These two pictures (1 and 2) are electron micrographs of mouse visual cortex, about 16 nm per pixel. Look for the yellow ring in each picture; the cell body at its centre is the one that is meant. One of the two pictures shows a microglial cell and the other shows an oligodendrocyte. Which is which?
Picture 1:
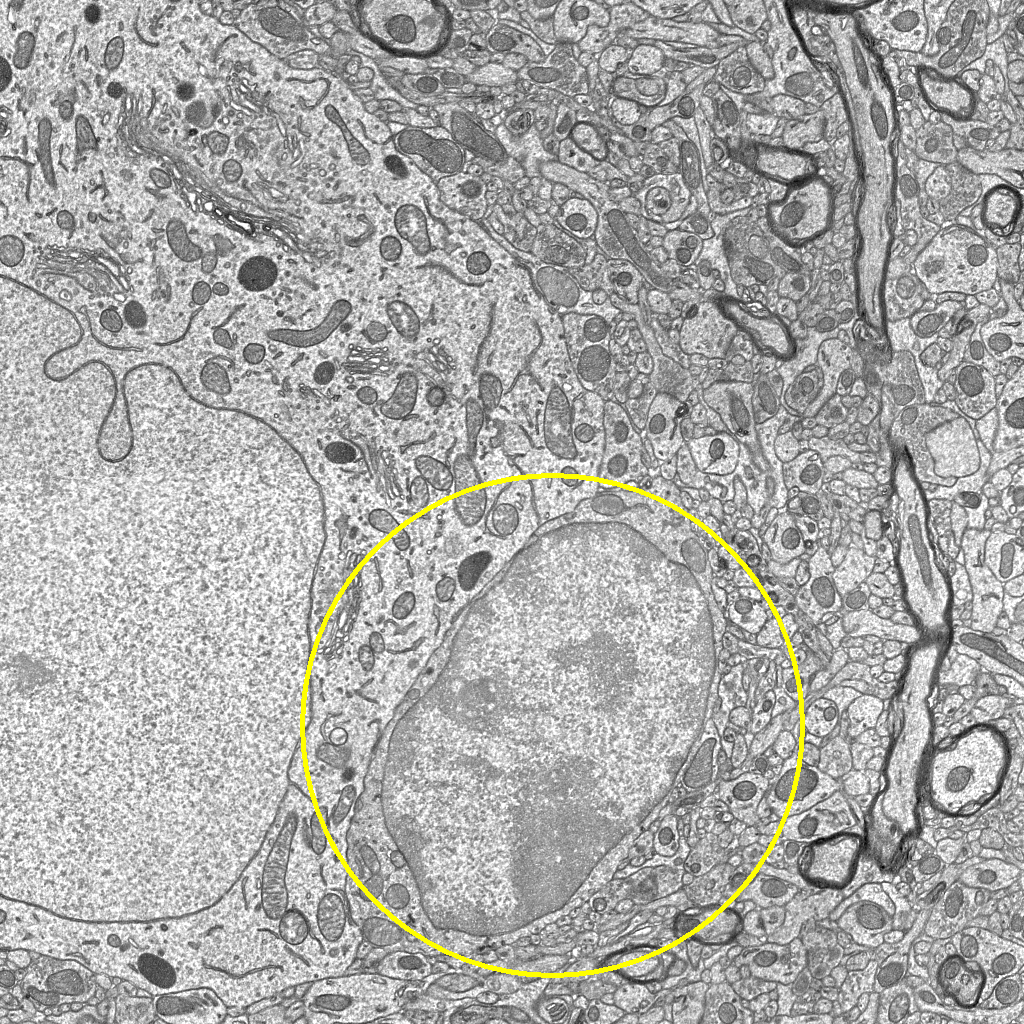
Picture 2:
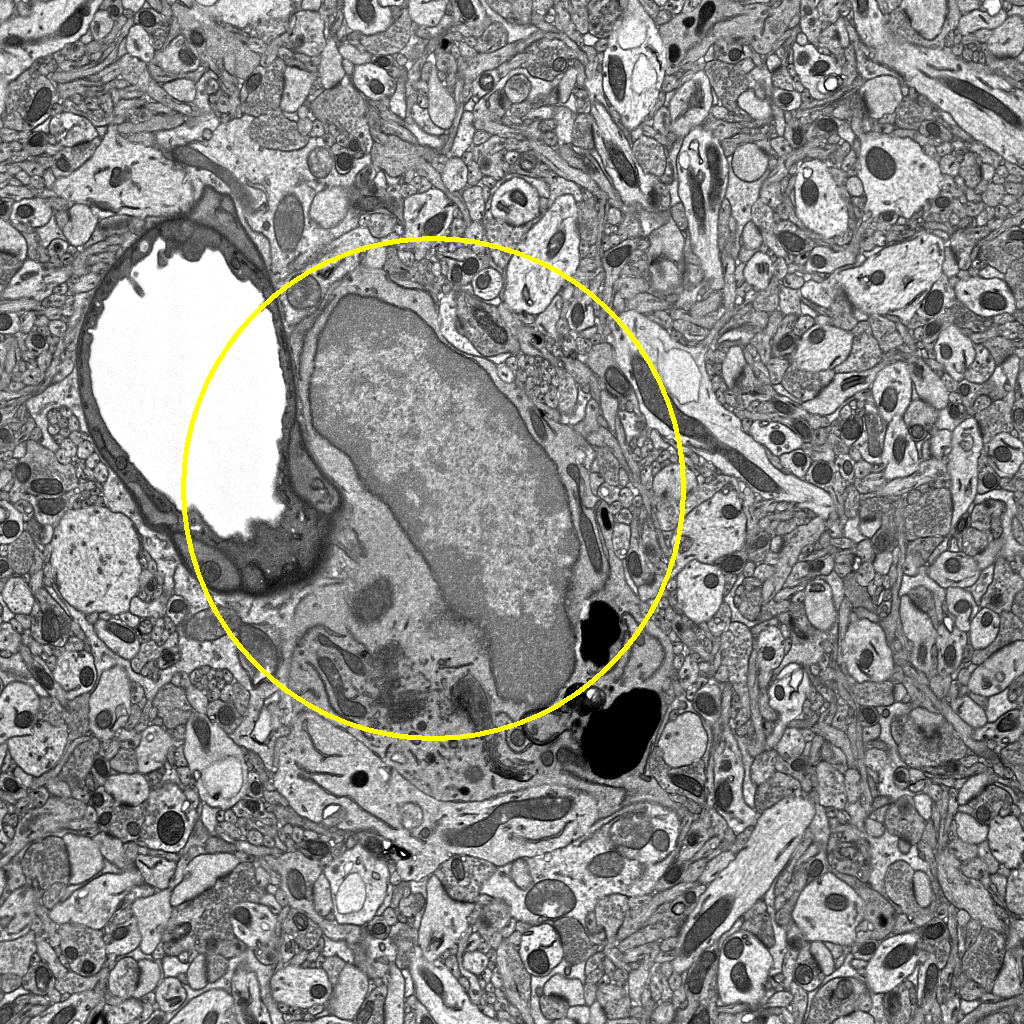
Picture 1 is of an oligodendrocyte, and picture 2 is of a microglial cell.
